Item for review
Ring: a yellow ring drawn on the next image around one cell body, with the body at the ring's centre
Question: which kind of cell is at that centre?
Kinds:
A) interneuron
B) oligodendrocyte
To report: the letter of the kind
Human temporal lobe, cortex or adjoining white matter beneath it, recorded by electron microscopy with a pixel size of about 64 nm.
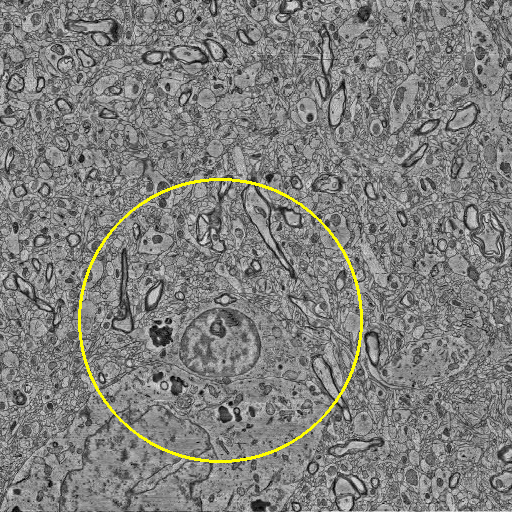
B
